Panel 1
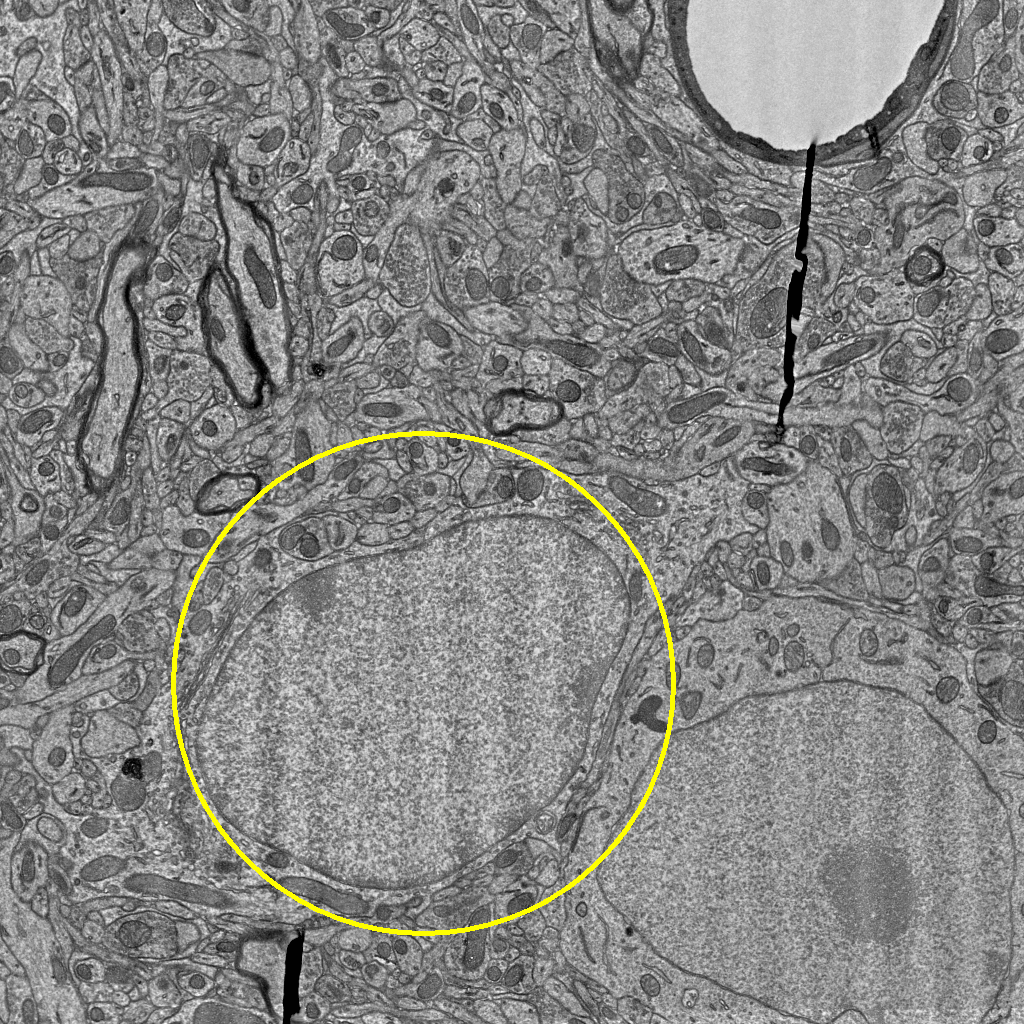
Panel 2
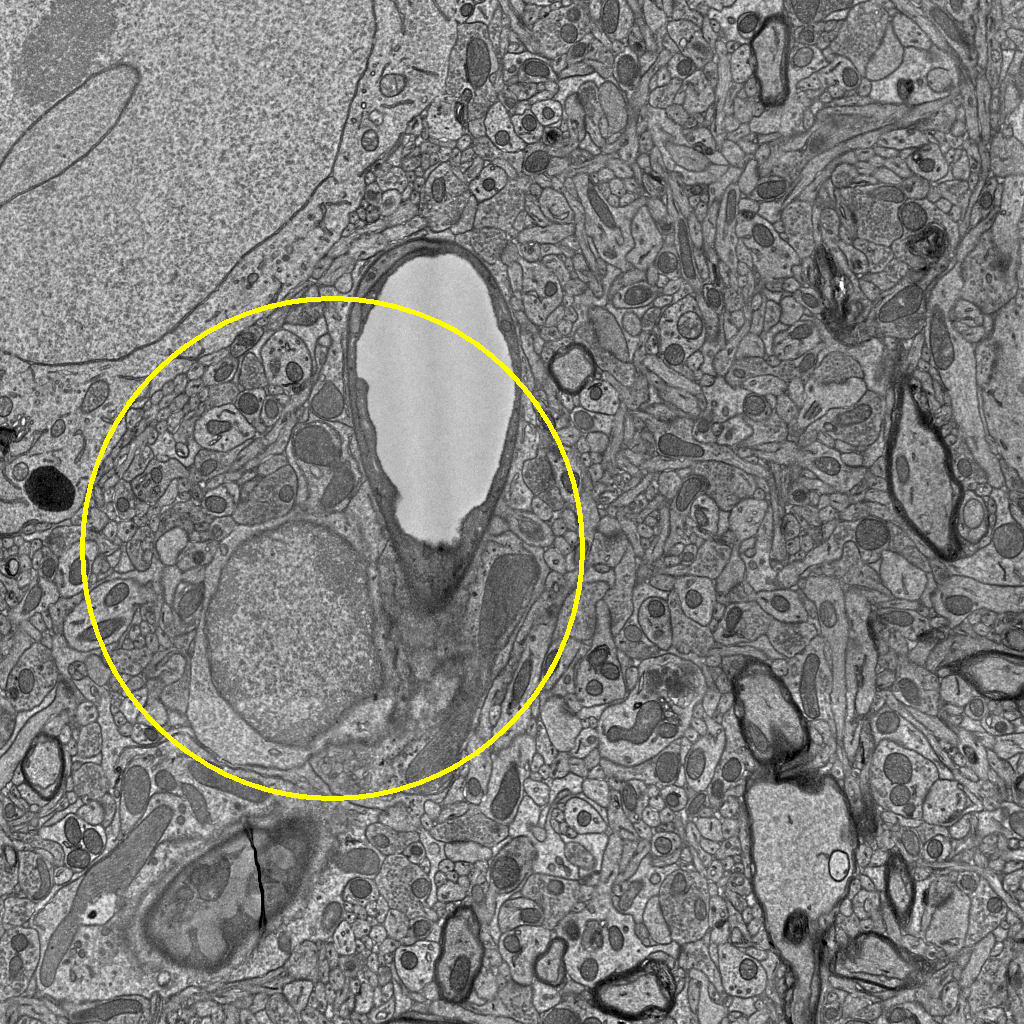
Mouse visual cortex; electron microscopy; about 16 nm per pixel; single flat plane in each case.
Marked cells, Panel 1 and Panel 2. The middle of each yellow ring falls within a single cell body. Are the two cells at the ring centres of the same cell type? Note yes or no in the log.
no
